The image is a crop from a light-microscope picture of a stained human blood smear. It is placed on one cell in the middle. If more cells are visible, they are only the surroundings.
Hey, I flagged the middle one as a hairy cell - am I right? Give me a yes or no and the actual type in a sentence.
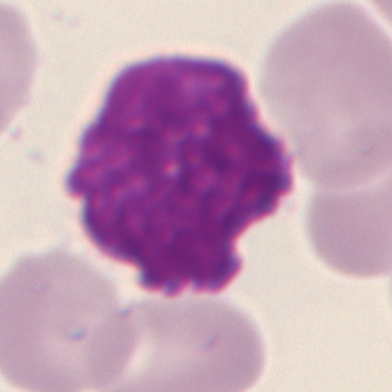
No, what is seen at the centre is a smudge cell instead of a hairy cell.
